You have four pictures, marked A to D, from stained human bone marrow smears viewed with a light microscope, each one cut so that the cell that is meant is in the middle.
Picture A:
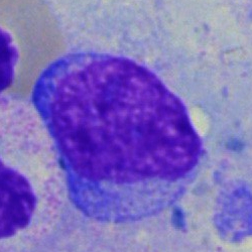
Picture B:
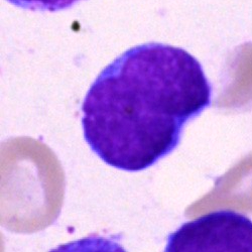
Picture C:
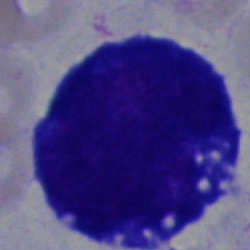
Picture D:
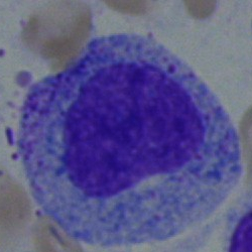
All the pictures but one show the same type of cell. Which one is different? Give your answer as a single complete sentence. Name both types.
Picture D is the odd one out: it shows a promyelocyte, while the others show blasts.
